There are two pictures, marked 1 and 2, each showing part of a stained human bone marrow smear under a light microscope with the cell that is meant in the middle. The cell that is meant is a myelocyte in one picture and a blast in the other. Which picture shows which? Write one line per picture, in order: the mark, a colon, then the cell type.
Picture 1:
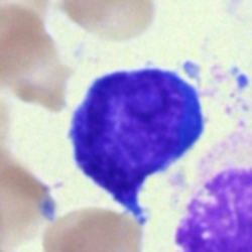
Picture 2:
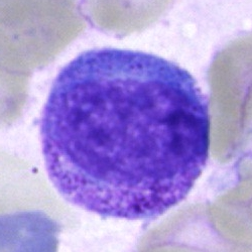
1: blast
2: myelocyte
